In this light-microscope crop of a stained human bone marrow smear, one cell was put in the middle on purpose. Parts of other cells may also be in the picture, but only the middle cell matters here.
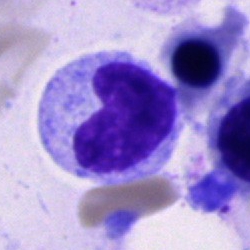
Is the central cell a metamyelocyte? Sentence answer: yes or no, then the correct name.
Yes, this central cell is a metamyelocyte.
